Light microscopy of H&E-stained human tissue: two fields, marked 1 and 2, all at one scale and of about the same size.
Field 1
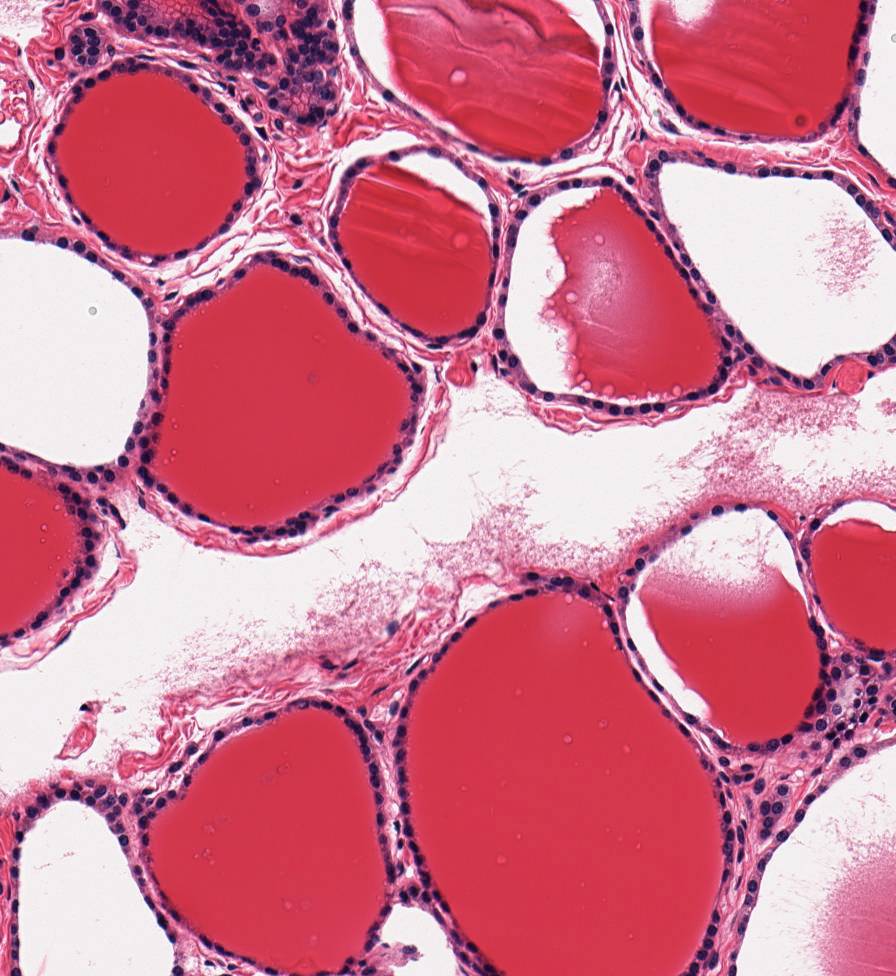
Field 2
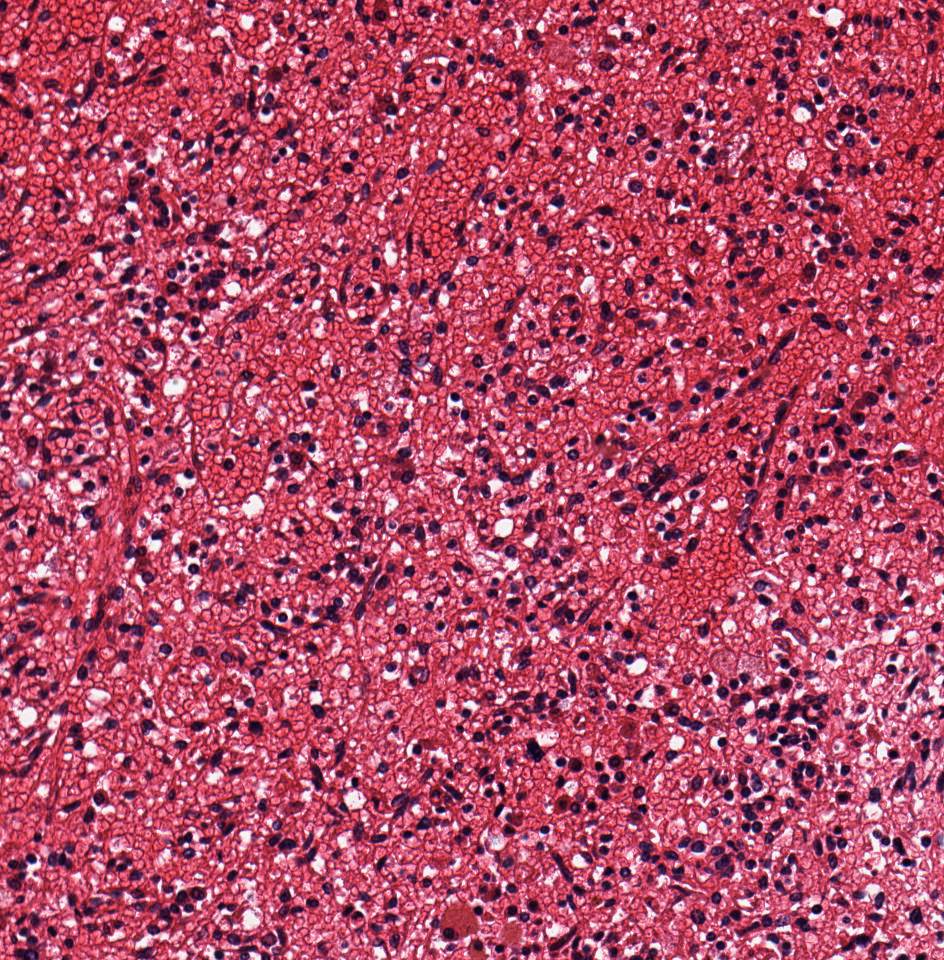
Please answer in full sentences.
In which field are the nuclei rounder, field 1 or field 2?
It is field 2 whose nuclei are the rounder.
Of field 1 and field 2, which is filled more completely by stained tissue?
Unstained space takes up less of field 2 than of field 1.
